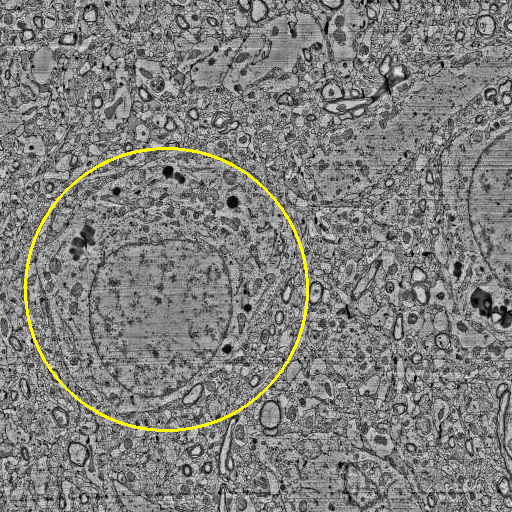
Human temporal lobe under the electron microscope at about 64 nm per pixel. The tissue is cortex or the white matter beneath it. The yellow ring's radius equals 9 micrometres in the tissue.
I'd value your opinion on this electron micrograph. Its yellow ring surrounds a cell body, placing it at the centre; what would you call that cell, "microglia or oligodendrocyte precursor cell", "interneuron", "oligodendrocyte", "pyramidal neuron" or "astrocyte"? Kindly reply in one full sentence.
It is an interneuron that sits centred within the yellow ring in this micrograph.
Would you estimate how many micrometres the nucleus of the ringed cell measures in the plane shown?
In this plane the nucleus is about 11 micrometres by 9.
